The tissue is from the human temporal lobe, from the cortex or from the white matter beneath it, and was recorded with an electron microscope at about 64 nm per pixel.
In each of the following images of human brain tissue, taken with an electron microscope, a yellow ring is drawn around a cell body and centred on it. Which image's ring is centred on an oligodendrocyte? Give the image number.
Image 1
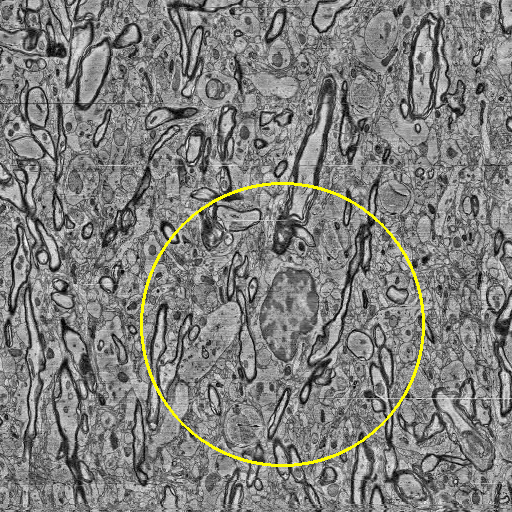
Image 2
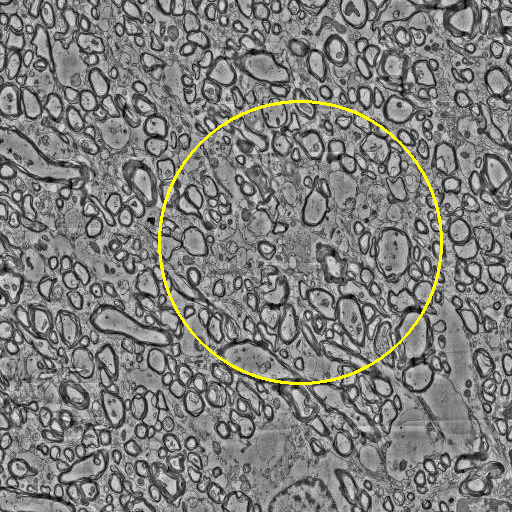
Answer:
2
